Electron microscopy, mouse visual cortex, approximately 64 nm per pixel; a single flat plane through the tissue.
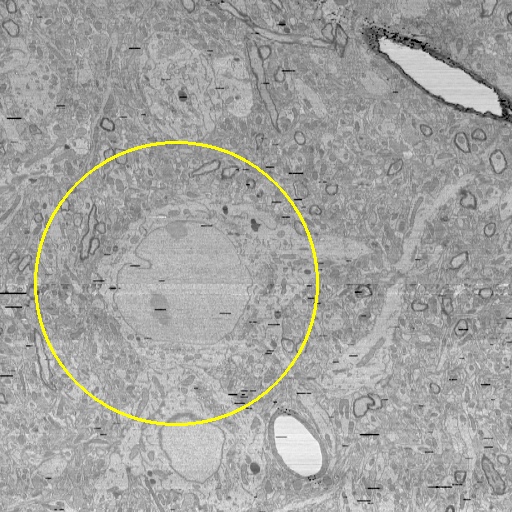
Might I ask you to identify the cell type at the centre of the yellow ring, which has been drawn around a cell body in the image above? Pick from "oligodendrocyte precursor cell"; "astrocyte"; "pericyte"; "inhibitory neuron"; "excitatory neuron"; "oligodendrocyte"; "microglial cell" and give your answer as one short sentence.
The centre of the ring falls on an excitatory neuron.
